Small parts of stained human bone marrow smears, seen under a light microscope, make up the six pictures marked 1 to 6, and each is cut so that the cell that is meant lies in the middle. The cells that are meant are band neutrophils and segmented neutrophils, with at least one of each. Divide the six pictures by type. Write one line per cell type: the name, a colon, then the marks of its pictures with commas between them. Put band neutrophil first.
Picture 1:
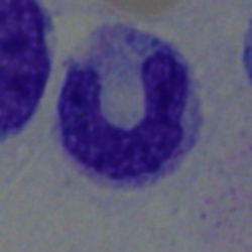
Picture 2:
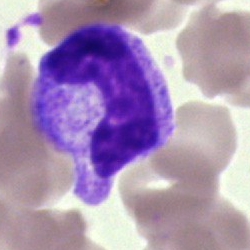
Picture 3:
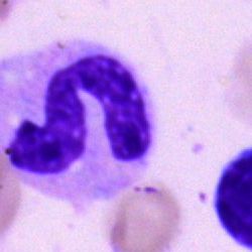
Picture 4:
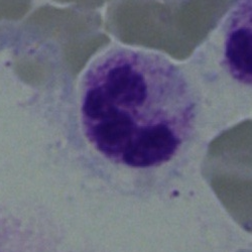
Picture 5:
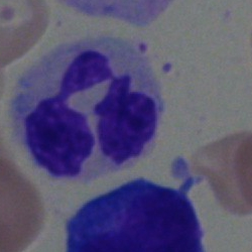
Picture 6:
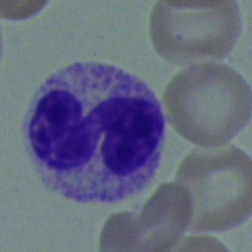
band neutrophil: 1, 2, 6
segmented neutrophil: 3, 4, 5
